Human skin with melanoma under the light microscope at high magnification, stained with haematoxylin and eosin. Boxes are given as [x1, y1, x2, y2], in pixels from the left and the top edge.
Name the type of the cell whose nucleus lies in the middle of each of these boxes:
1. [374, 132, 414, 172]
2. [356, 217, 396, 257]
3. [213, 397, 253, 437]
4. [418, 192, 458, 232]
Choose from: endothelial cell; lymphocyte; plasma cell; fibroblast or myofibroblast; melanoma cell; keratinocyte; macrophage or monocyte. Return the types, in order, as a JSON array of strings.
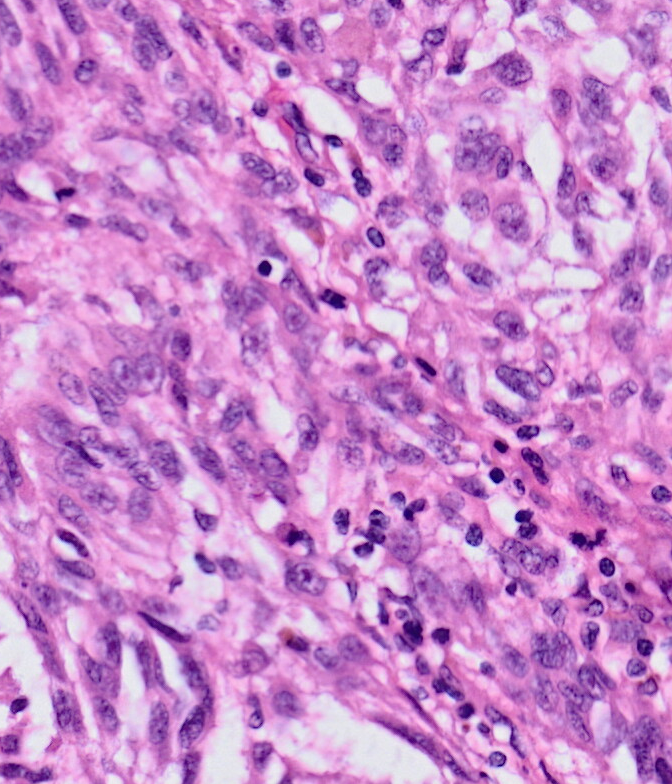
["melanoma cell", "lymphocyte", "melanoma cell", "melanoma cell"]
